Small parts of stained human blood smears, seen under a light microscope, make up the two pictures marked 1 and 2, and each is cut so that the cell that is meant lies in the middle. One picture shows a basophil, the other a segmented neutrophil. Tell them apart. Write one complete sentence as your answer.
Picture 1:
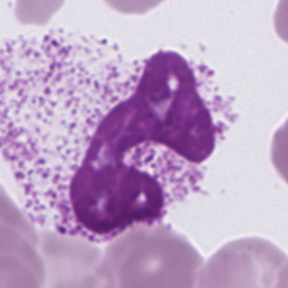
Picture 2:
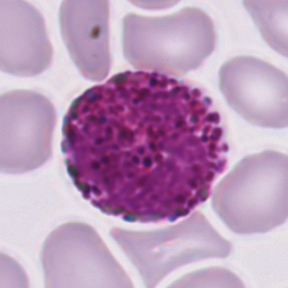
The cell in picture 1 is a segmented neutrophil, and the one in picture 2 is a basophil.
